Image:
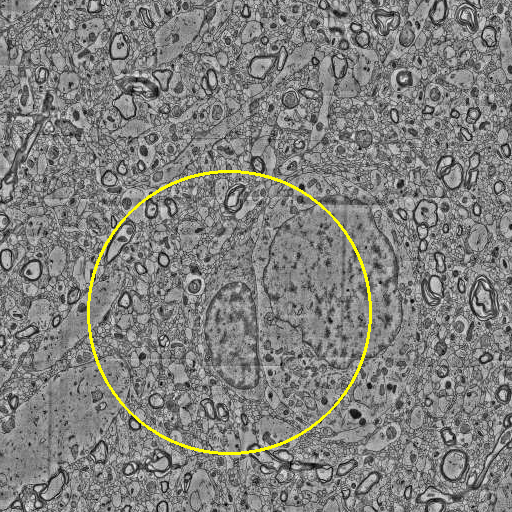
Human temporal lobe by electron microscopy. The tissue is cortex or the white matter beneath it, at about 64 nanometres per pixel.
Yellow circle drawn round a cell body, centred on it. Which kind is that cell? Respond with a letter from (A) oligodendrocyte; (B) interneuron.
A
